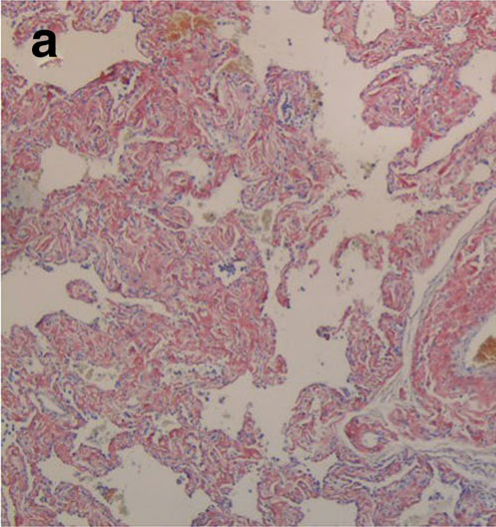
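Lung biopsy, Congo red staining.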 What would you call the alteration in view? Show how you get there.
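The septa between the airspaces are broad and thick. The airspaces are narrowed and irregular between the thickened septa. That points to this answer: marked thickening of the alveolar wall.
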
